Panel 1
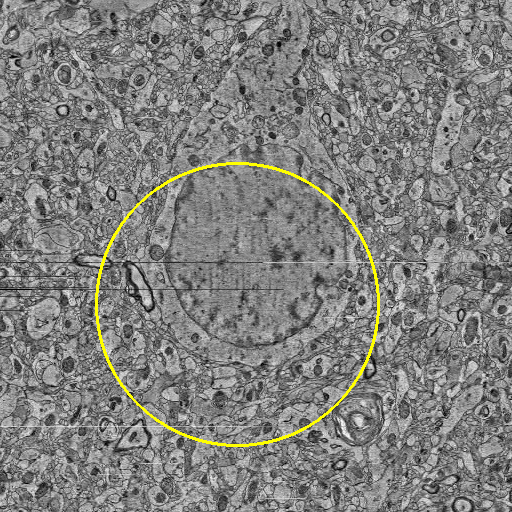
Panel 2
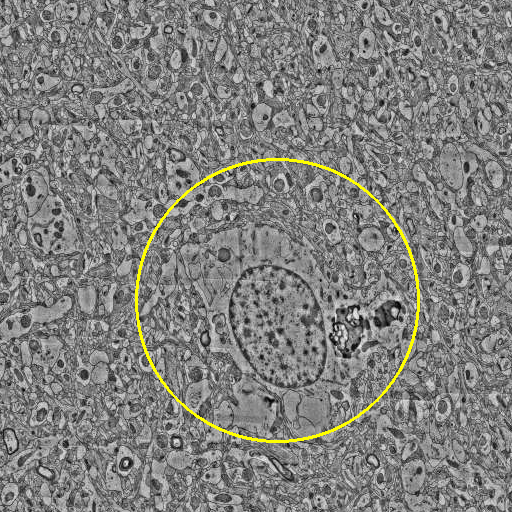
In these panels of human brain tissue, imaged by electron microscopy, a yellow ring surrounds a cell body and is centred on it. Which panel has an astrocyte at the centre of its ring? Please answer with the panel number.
2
